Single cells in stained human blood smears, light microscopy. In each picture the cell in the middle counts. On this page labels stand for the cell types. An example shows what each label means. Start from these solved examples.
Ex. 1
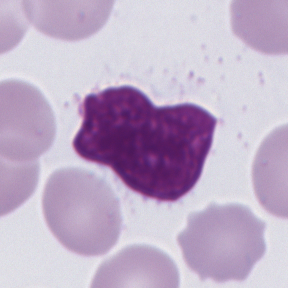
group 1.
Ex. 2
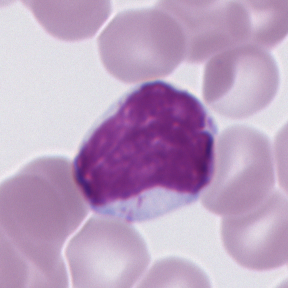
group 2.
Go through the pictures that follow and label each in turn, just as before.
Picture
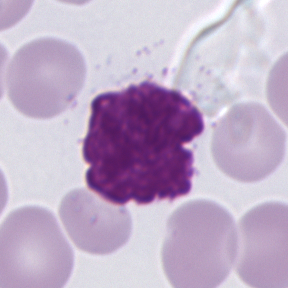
group 1.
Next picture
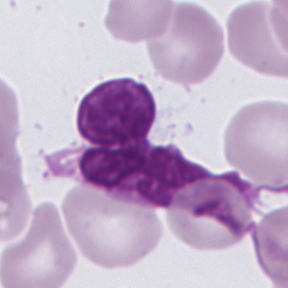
group 1.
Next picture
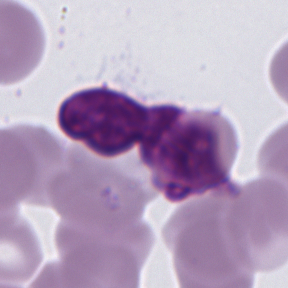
group 1.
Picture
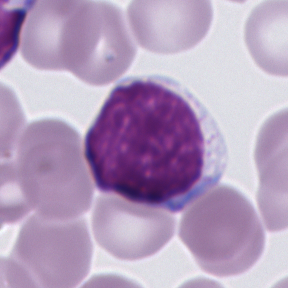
group 2.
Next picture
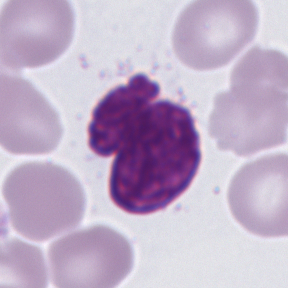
group 1.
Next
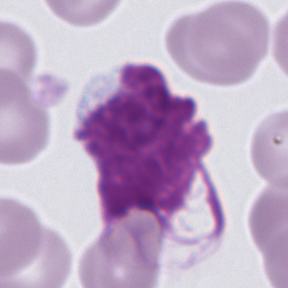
group 1.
